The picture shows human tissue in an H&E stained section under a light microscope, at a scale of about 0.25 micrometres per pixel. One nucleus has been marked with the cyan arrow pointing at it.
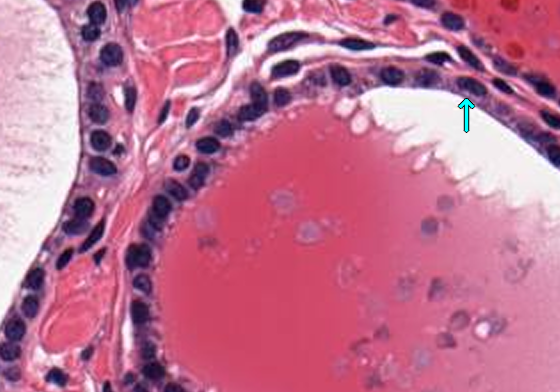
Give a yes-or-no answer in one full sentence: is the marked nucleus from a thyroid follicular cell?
Yes, it is the nucleus of a thyroid follicular cell that has been marked.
